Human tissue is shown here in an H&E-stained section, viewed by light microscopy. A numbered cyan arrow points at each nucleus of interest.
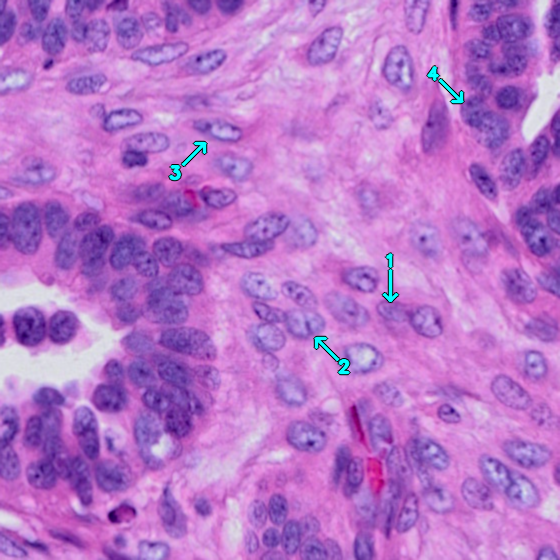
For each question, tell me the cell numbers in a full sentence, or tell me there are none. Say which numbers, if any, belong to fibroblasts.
Cells 1, 2 and 3 are fibroblasts by cell type.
